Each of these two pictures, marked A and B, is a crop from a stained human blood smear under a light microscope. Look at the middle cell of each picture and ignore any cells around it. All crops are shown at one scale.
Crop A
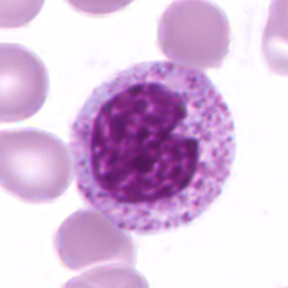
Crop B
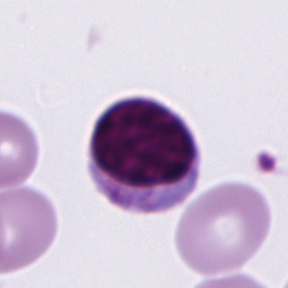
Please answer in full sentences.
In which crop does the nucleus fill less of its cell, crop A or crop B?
It is the cell in crop A that is filled less by its nucleus.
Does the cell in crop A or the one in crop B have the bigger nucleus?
Crop A shows the larger nucleus; it covers about 1.5 times the area of the nucleus in crop B.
